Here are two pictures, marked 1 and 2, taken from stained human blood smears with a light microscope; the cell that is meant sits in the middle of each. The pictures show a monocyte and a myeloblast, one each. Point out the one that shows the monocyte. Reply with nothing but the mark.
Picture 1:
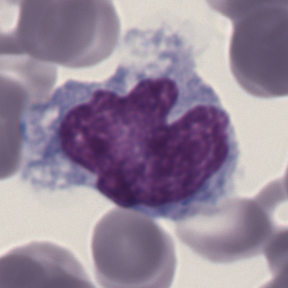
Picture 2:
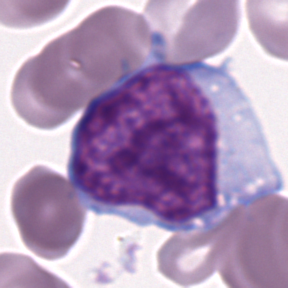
1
